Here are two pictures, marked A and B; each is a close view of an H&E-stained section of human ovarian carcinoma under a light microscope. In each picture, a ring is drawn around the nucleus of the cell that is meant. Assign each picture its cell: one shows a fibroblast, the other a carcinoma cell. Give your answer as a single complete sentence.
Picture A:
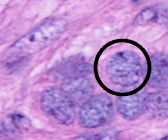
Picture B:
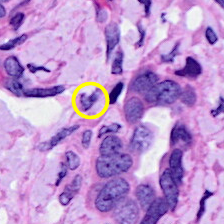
In picture A the cell is a carcinoma cell; in picture B, a fibroblast.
